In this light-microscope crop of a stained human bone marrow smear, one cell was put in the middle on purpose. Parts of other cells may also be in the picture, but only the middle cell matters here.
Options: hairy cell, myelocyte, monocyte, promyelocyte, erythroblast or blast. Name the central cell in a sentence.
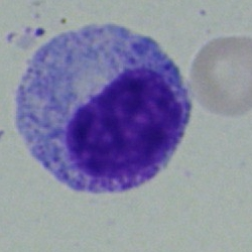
The cell at the middle of the frame should be recorded as a myelocyte.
